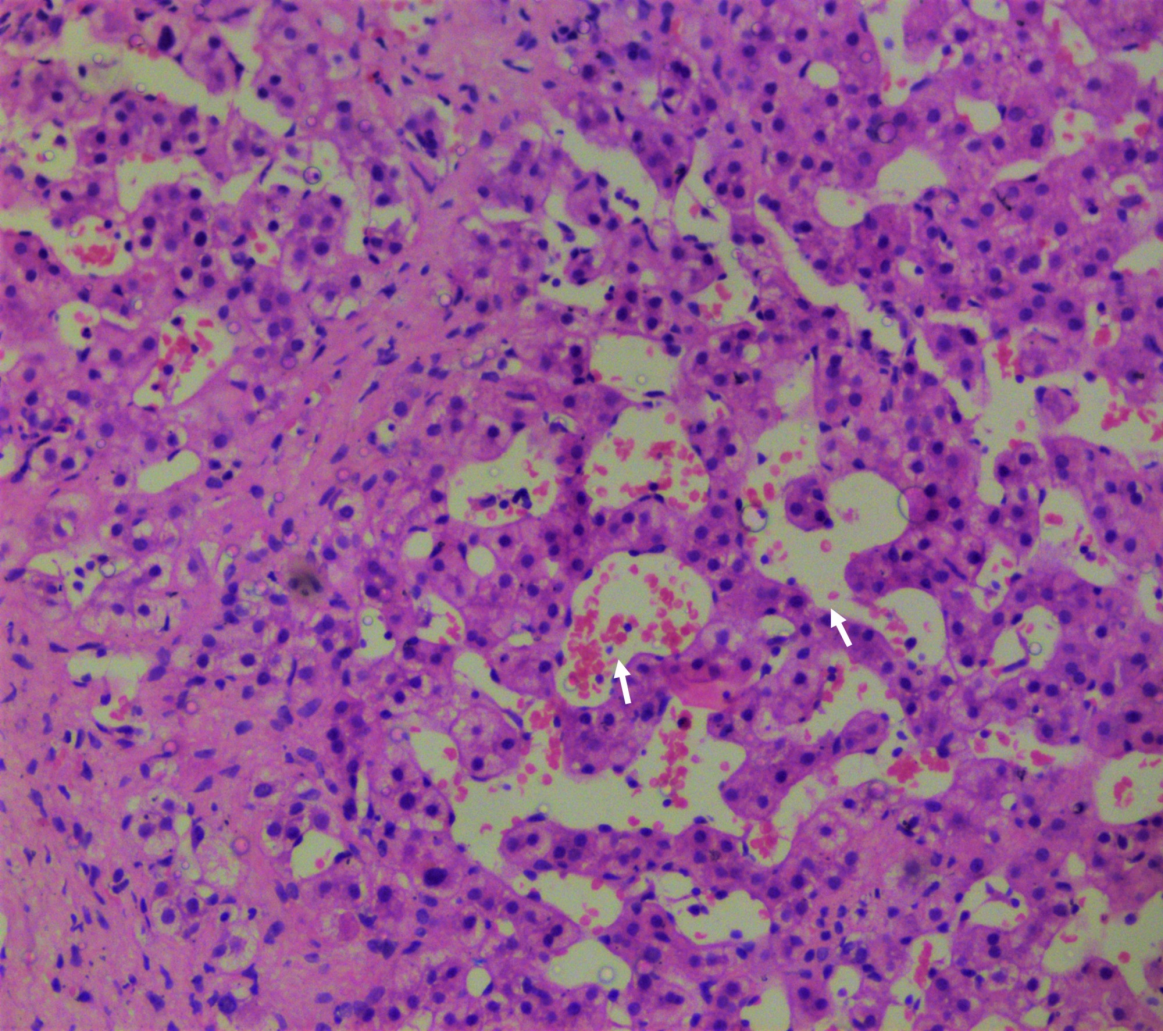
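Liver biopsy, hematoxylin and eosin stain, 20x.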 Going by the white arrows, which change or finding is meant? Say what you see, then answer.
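Sinusoidal dilatation. Wide, irregular pale spaces separate the plates of polygonal cells. The widened spaces hold scattered red blood cells. The arrows point into these widened spaces between cell plates.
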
